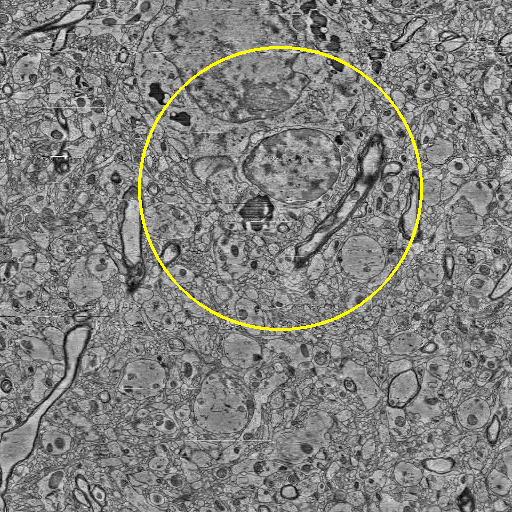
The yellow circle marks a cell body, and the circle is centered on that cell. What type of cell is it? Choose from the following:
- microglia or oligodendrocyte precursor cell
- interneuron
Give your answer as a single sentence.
This cell body belongs to a microglial cell or oligodendrocyte precursor cell.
